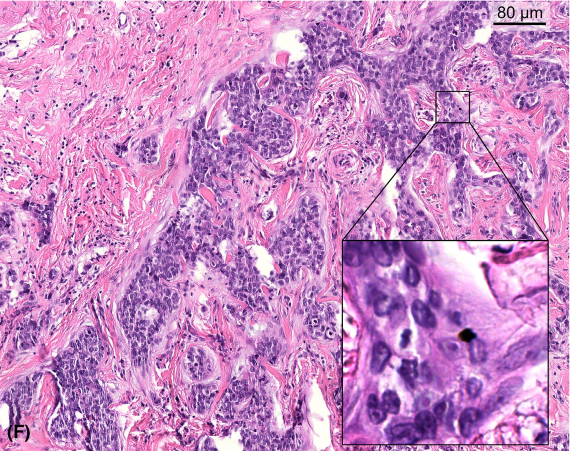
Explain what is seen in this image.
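Carcinoma tissue made up of large, irregular, confluent nests of closely packed tumor cells with dark purple nuclei, separated by bands of pink collagenous stroma, with hardly any cystic spaces. The inset shows cells with oval, somewhat irregular nuclei and pale pink cytoplasm, next to a small, very dark, condensed nucleus.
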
